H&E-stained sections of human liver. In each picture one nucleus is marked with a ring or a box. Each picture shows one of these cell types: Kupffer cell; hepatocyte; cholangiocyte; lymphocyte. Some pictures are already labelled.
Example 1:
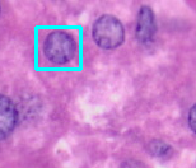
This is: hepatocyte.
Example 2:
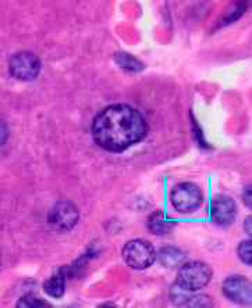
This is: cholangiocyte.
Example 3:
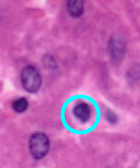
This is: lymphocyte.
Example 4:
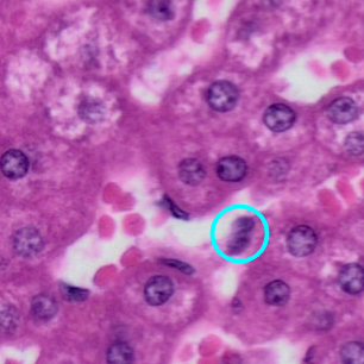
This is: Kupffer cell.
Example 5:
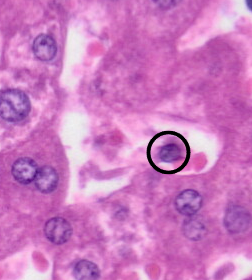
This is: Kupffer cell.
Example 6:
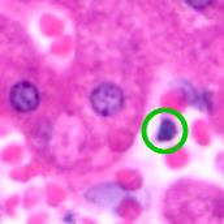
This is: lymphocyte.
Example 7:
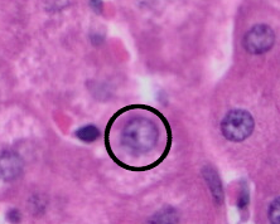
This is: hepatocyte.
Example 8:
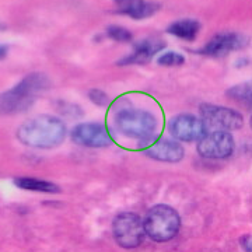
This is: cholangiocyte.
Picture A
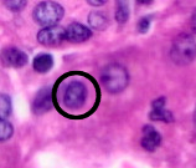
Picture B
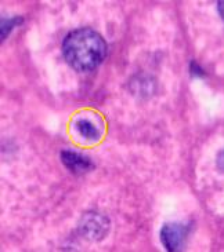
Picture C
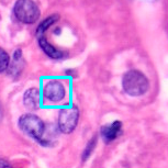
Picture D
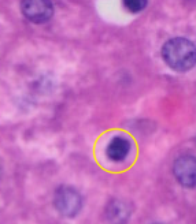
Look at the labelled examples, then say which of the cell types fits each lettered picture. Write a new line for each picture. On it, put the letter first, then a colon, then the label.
A: cholangiocyte.
B: lymphocyte.
C: cholangiocyte.
D: lymphocyte.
